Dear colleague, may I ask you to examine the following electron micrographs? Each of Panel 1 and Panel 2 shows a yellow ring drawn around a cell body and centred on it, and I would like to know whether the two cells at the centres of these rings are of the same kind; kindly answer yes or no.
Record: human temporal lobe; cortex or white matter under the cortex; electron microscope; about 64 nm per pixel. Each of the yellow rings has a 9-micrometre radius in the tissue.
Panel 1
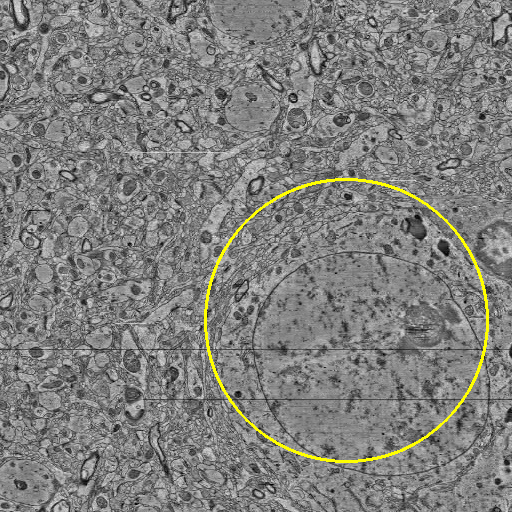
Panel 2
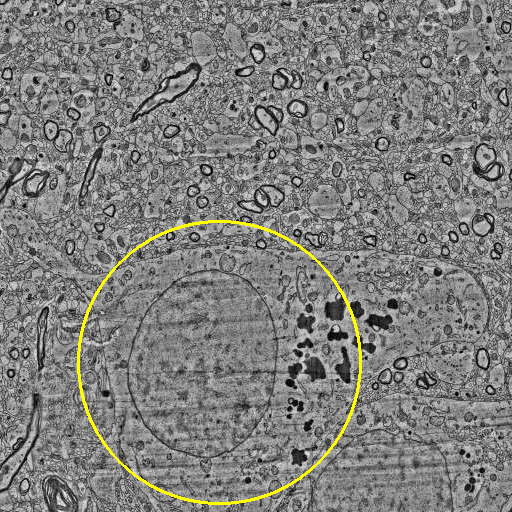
yes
